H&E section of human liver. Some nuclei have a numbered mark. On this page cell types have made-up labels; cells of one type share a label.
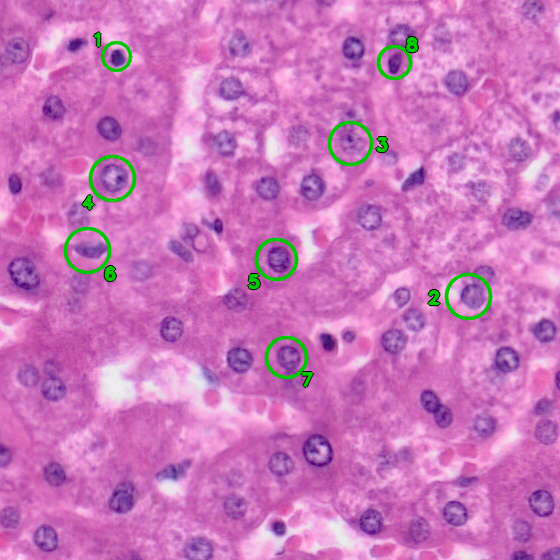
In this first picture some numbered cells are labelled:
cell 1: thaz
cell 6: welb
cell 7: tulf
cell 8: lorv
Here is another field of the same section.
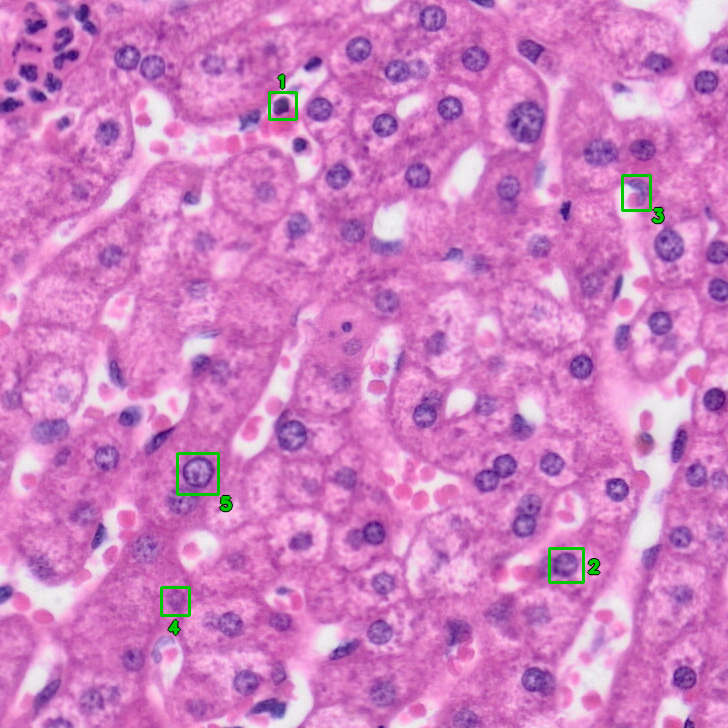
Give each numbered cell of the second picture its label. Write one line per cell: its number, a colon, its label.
1: thaz
2: tulf
3: welb
4: tulf
5: tulf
